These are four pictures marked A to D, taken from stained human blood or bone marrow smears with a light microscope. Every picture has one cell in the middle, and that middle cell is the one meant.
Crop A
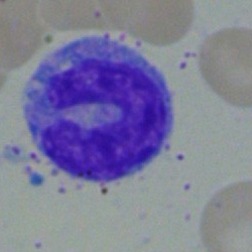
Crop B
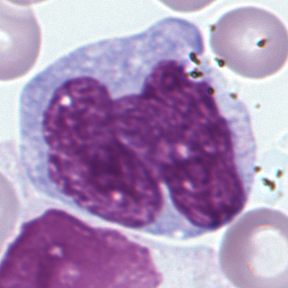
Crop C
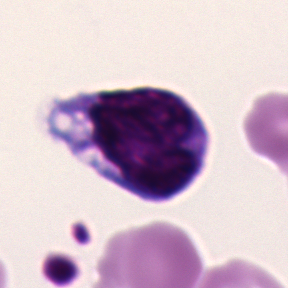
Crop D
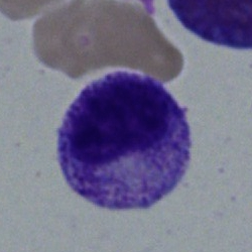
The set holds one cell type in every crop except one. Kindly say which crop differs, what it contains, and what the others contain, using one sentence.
Just crop D is a myelocyte; all the other crops show monocytes.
